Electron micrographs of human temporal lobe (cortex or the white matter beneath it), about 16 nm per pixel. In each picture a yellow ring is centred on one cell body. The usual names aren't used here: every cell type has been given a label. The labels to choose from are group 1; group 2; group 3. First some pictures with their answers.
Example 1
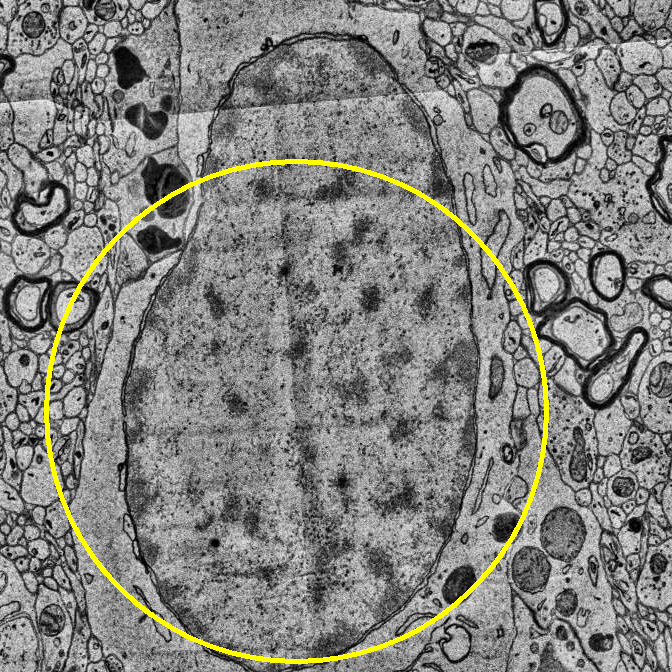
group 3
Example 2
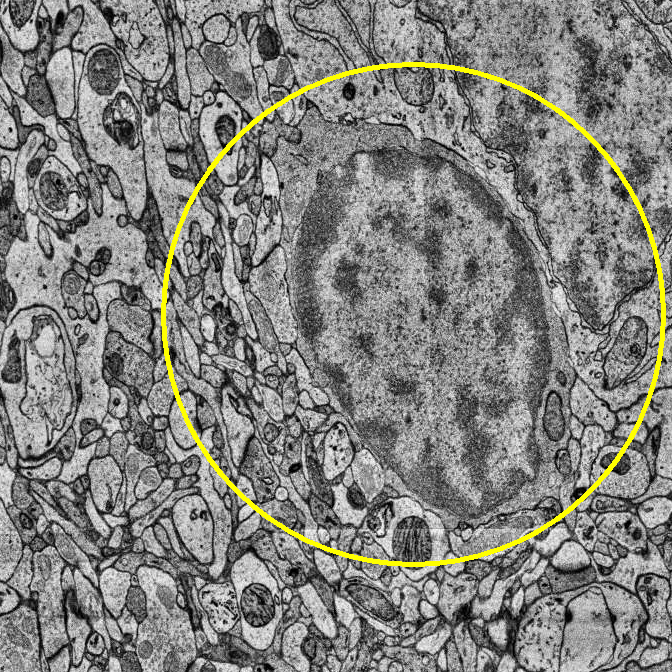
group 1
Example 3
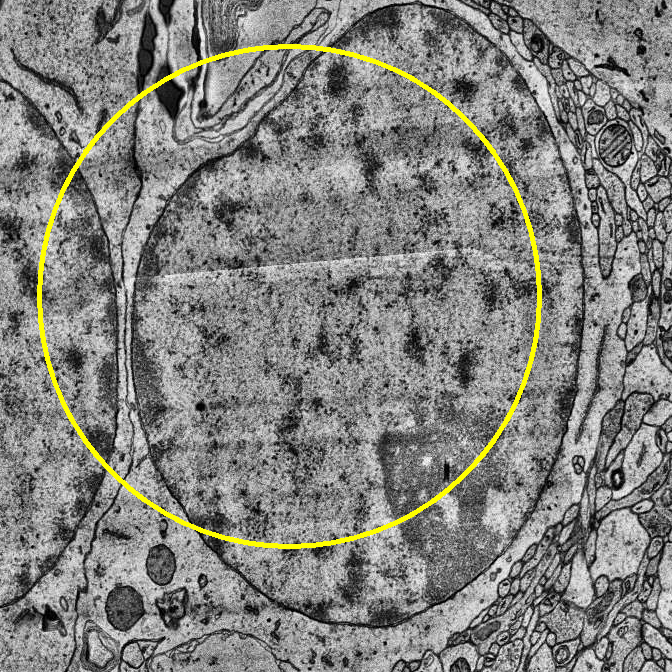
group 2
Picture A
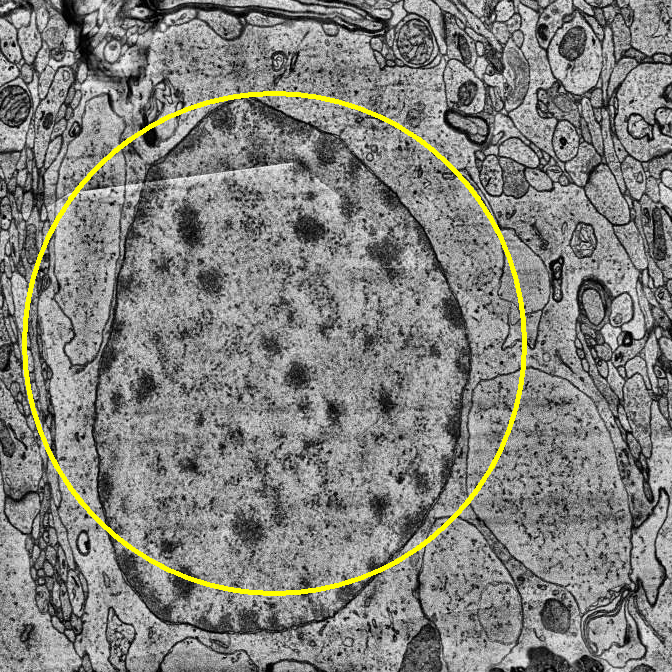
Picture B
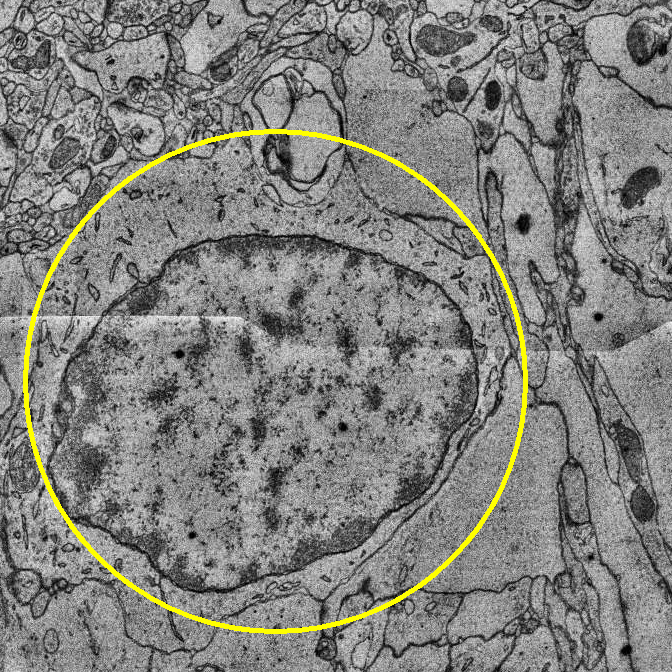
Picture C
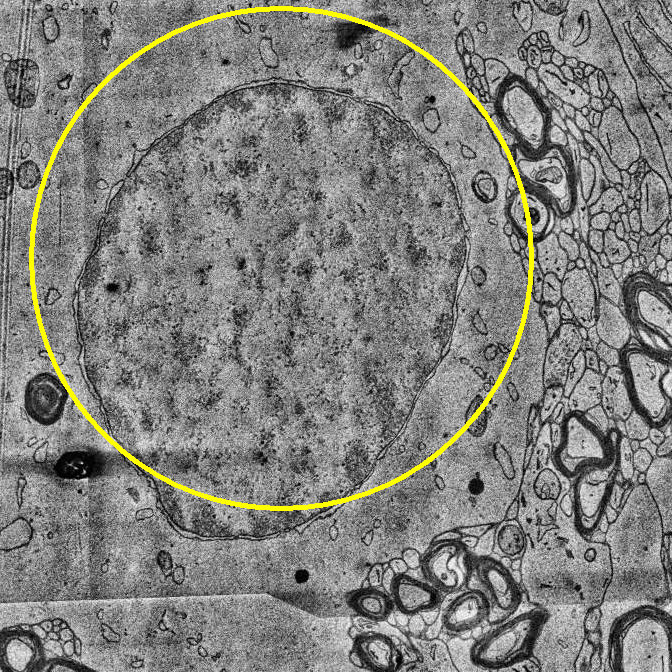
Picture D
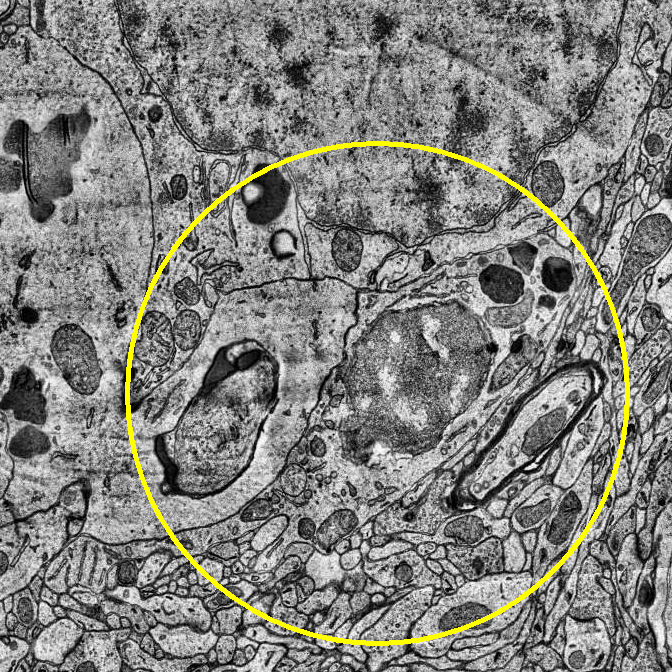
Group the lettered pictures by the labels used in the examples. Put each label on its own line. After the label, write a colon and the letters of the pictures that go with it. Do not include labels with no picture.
group 2: A, C
group 3: B, D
